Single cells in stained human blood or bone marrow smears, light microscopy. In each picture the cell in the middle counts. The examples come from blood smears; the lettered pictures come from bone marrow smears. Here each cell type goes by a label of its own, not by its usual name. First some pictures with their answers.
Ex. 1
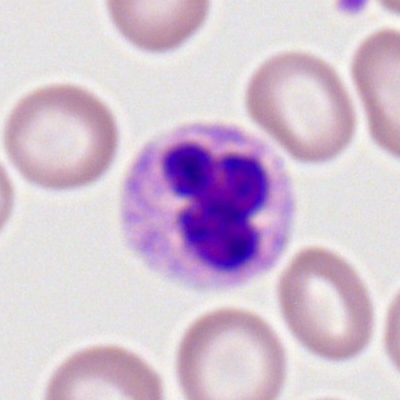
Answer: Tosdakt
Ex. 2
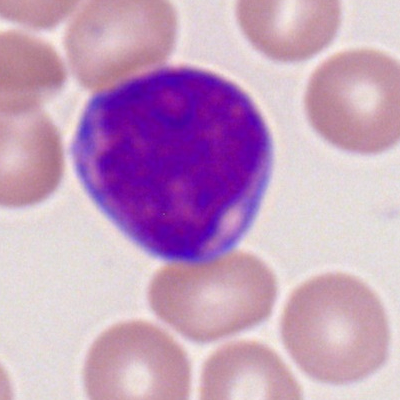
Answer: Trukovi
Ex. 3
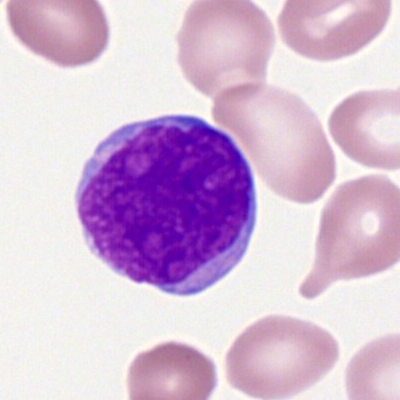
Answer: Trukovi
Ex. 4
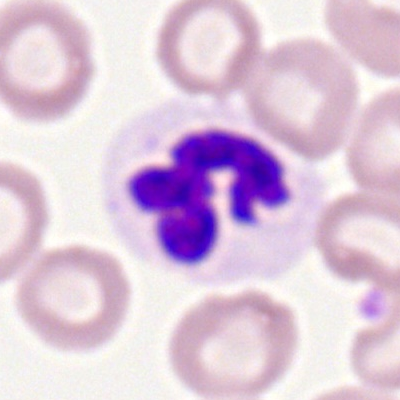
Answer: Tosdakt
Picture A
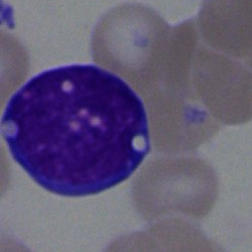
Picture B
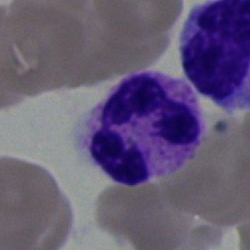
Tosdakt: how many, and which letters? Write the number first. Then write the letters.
1: B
